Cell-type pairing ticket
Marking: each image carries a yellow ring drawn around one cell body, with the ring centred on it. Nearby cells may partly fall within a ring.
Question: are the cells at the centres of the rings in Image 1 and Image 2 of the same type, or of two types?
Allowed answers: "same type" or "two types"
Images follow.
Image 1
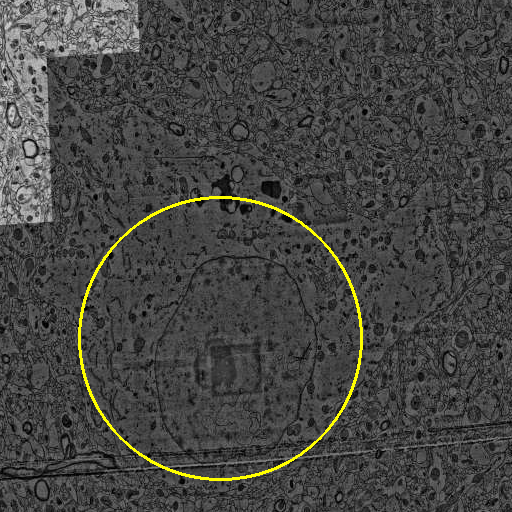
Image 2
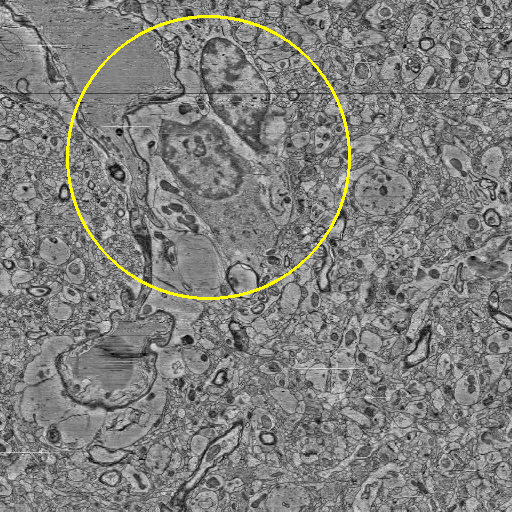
two types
